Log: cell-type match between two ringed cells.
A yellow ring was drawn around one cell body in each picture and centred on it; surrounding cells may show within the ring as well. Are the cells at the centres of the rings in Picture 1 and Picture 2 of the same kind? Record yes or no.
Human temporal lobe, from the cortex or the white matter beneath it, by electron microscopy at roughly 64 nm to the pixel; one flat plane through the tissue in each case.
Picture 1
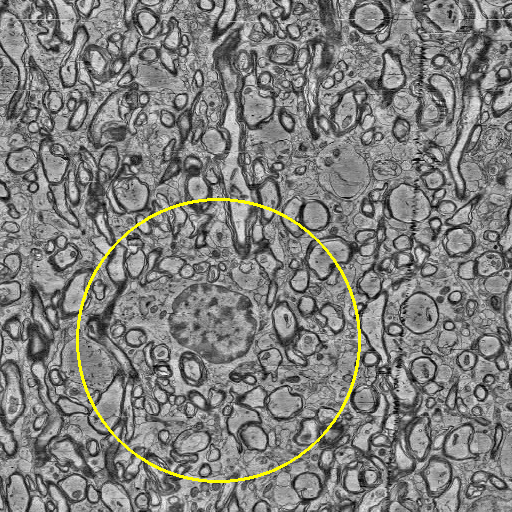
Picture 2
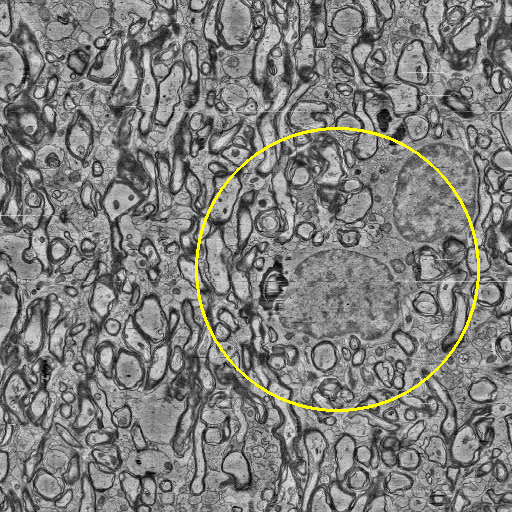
no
